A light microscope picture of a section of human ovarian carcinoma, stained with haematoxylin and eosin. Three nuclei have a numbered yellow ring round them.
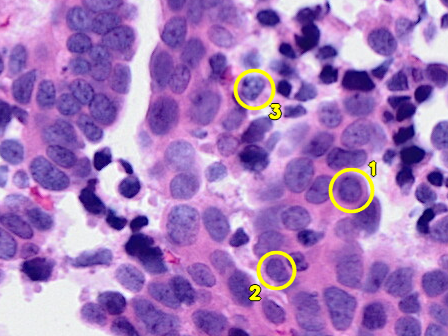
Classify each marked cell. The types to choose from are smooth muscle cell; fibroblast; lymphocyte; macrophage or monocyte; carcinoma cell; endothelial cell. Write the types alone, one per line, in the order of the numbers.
carcinoma cell
carcinoma cell
macrophage or monocyte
